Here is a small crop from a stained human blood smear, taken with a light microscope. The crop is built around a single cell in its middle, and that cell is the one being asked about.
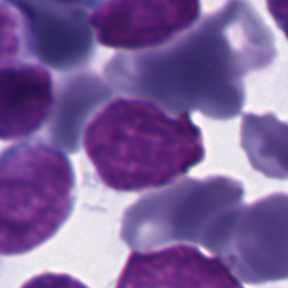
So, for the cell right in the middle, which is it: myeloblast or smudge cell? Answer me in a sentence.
The middle of this crop holds a smudge cell.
